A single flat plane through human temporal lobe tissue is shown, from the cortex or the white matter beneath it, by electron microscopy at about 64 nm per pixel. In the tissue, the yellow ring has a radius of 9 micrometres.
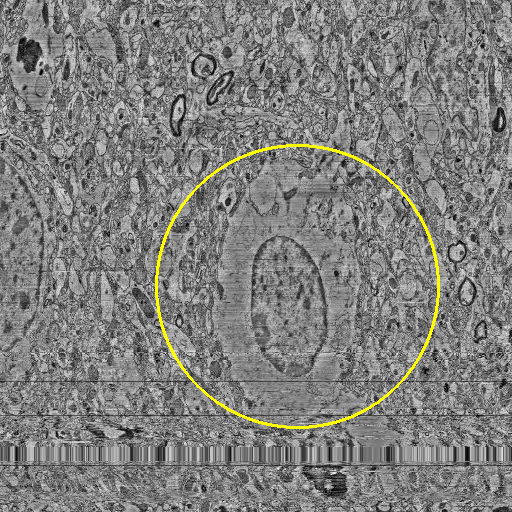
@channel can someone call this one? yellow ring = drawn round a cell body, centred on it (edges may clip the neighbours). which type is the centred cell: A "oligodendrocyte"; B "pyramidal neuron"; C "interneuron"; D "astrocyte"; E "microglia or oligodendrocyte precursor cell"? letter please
D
